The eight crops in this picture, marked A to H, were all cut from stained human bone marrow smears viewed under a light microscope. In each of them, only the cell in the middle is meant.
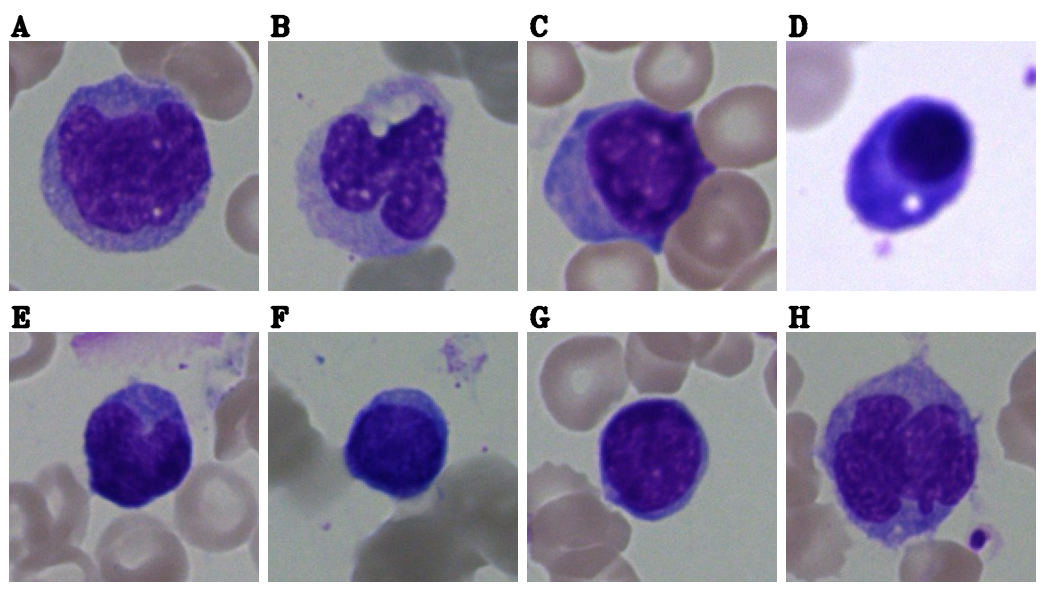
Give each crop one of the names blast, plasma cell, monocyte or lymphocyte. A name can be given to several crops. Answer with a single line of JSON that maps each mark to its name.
{"A": "monocyte", "B": "monocyte", "C": "blast", "D": "plasma cell", "E": "lymphocyte", "F": "lymphocyte", "G": "lymphocyte", "H": "monocyte"}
